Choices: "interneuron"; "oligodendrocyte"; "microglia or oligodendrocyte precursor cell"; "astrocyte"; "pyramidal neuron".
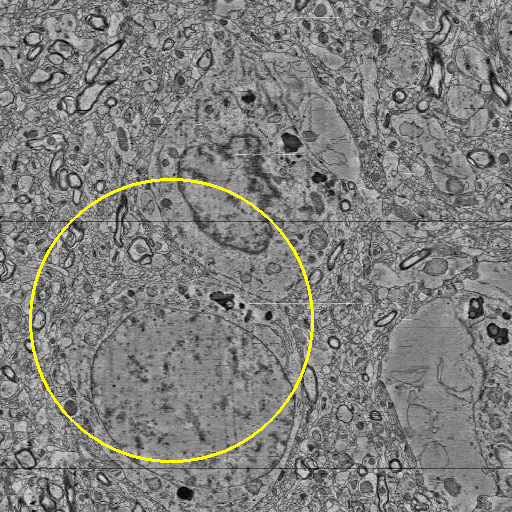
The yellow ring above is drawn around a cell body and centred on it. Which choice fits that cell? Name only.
pyramidal neuron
